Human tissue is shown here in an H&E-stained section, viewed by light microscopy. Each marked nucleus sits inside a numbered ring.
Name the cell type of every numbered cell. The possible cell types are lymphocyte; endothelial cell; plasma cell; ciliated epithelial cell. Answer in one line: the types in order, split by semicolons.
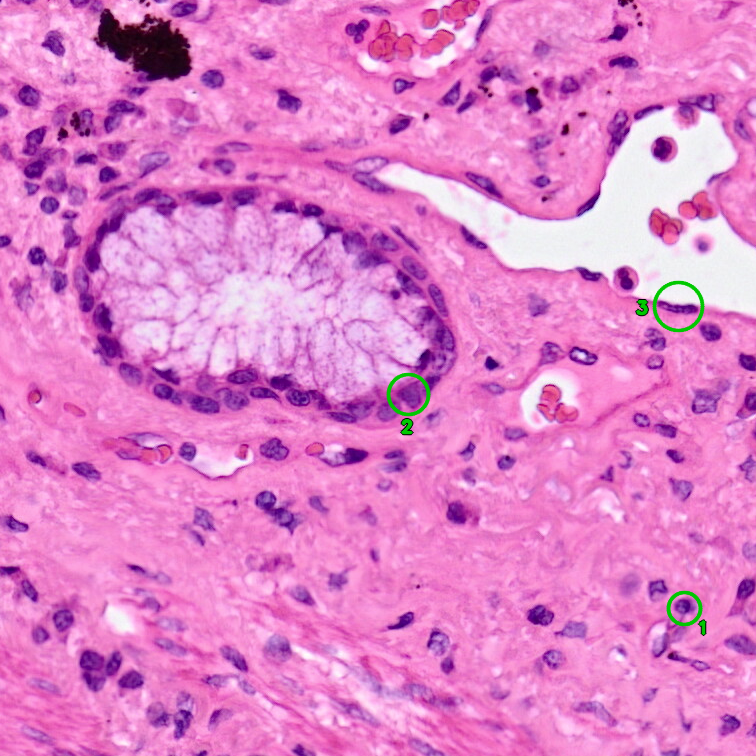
lymphocyte; ciliated epithelial cell; endothelial cell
